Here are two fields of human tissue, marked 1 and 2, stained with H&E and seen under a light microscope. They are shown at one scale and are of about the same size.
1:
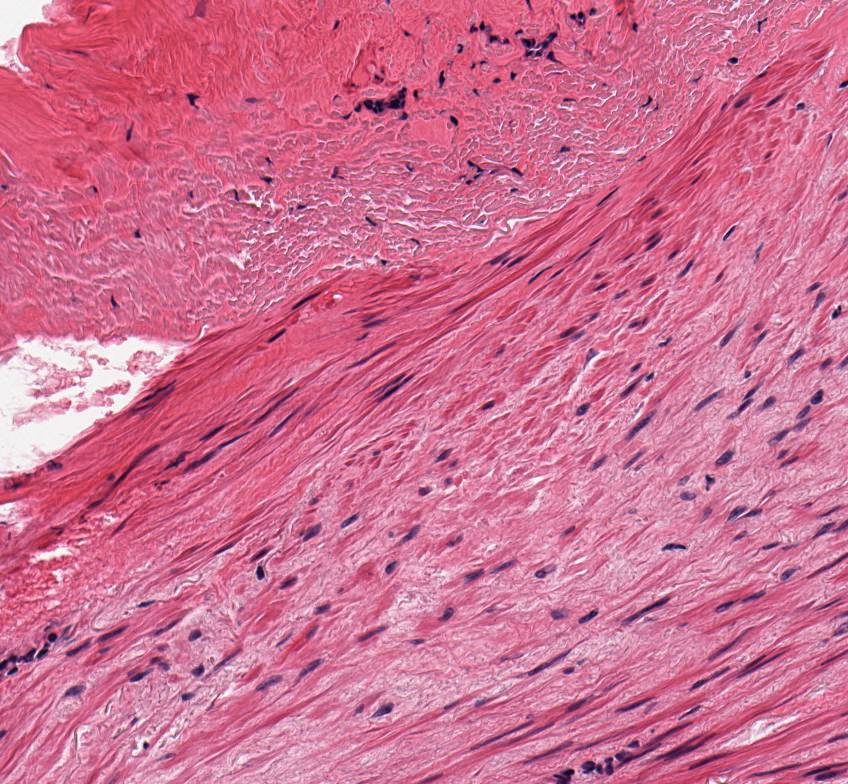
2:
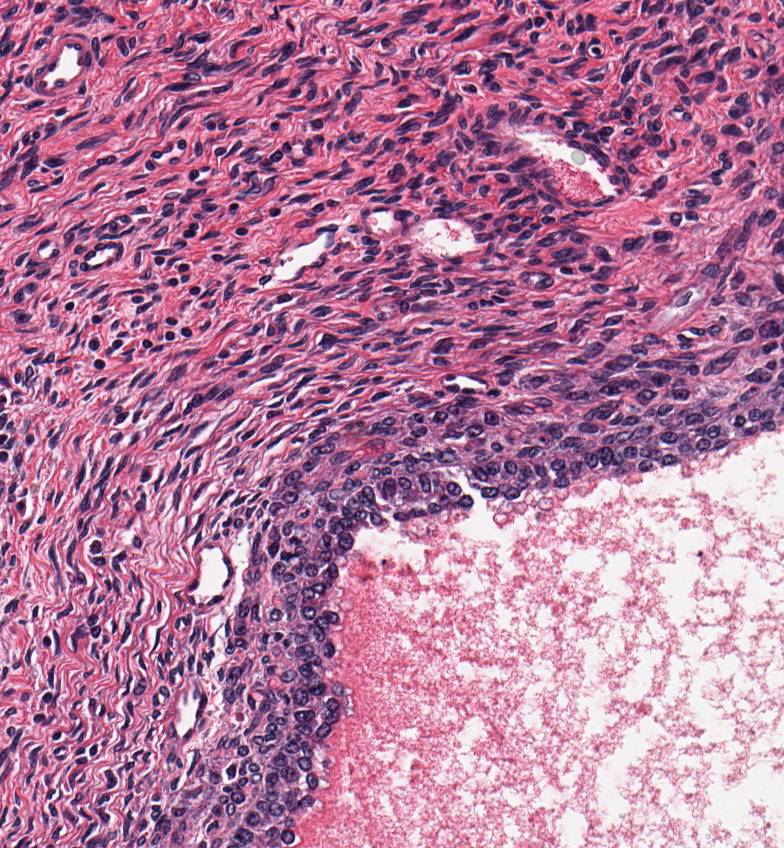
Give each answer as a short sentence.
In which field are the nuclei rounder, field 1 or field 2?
The nuclei are rounder in field 2.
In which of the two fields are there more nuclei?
The larger number of nuclei is in field 2.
